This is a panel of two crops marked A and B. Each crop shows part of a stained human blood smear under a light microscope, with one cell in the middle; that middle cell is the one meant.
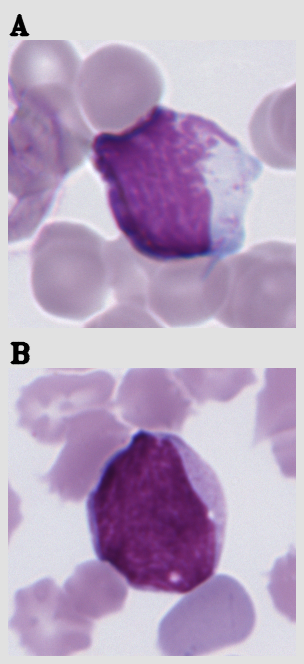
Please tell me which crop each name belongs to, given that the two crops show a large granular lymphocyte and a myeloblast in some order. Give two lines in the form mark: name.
A: large granular lymphocyte
B: myeloblast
